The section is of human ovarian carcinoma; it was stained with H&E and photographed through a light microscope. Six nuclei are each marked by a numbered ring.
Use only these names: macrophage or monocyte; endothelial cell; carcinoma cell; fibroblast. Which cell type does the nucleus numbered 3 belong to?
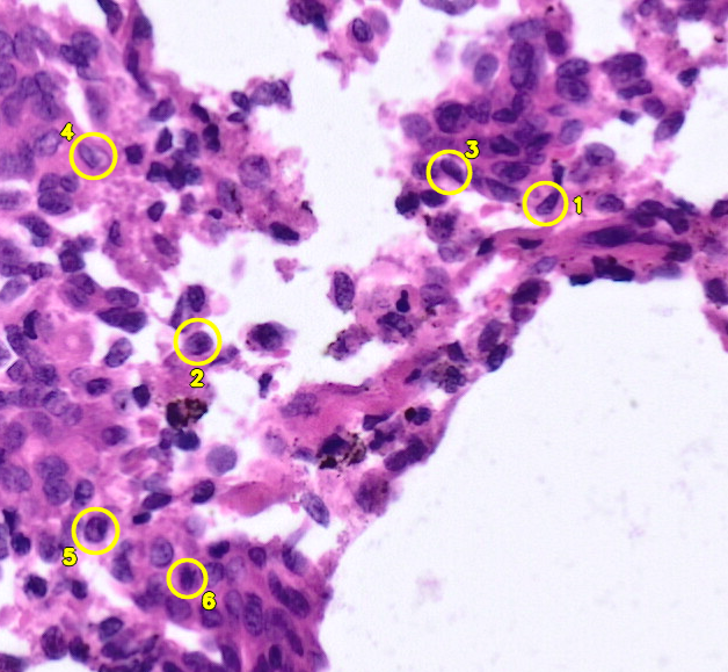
carcinoma cell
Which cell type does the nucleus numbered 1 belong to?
macrophage or monocyte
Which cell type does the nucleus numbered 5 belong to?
macrophage or monocyte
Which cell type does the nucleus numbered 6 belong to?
carcinoma cell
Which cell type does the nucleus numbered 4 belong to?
endothelial cell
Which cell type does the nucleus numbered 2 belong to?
carcinoma cell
